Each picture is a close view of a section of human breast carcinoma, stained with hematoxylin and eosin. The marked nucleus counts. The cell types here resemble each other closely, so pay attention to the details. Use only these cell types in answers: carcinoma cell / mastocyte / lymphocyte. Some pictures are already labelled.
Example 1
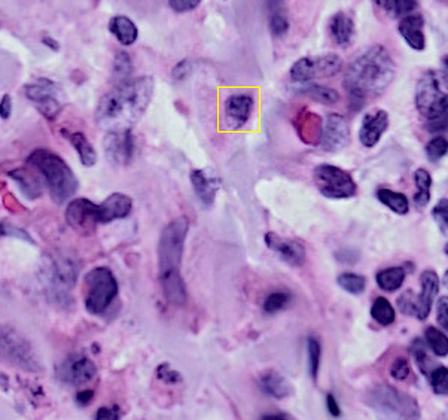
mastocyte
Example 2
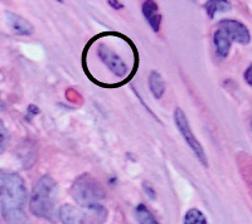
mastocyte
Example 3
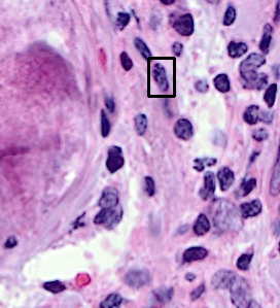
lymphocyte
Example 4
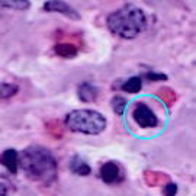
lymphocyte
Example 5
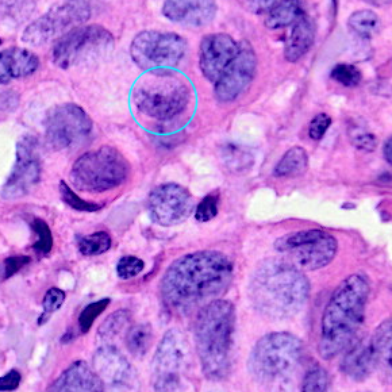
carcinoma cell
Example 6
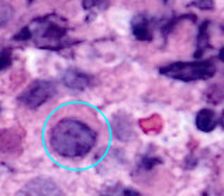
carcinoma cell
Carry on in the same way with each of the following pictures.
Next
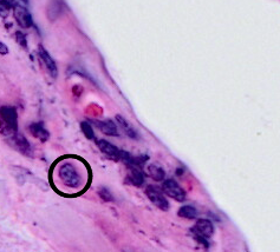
mastocyte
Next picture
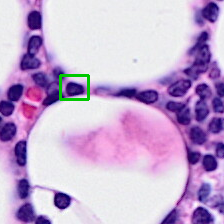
lymphocyte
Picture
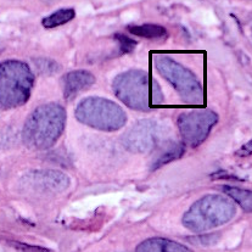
carcinoma cell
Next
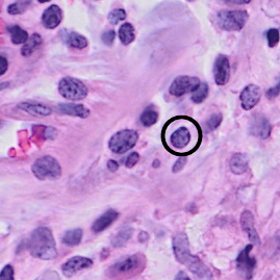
lymphocyte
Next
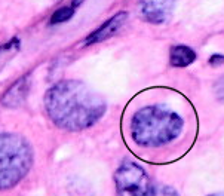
carcinoma cell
